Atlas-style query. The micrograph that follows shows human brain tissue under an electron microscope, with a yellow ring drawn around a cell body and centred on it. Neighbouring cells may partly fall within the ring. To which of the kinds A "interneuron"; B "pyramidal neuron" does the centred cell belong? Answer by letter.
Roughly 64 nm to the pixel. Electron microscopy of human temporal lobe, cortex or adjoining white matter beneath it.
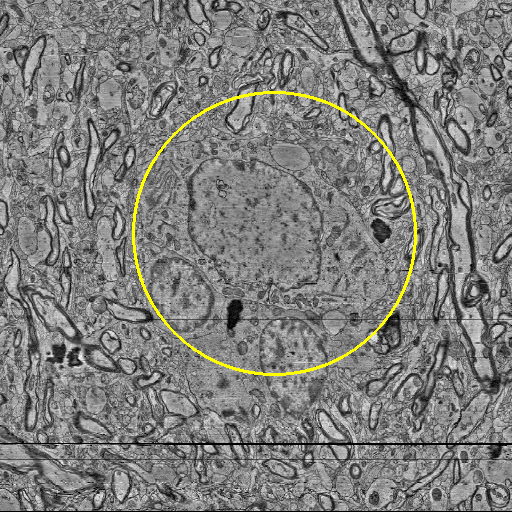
A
